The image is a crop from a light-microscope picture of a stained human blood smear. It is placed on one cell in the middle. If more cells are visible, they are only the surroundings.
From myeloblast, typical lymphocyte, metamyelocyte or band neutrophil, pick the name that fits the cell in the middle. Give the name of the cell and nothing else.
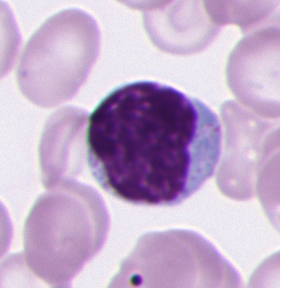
typical lymphocyte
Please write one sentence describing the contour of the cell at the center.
The cell shows a smooth outline that lacks any surface projections.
